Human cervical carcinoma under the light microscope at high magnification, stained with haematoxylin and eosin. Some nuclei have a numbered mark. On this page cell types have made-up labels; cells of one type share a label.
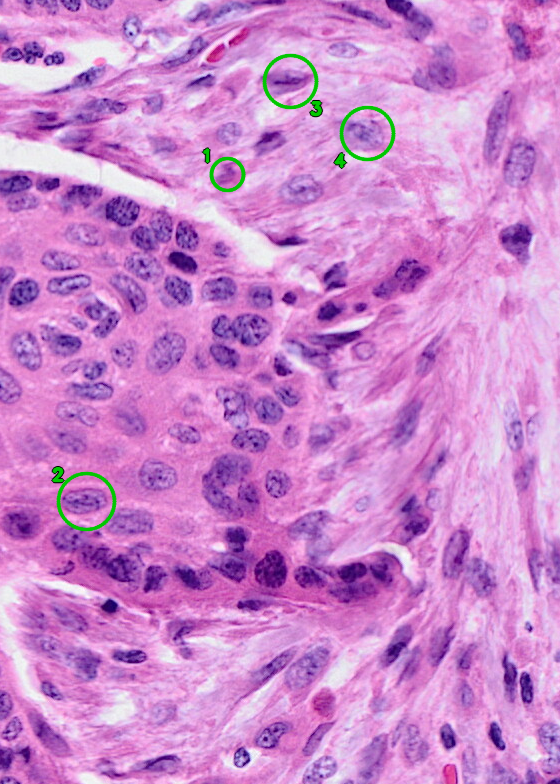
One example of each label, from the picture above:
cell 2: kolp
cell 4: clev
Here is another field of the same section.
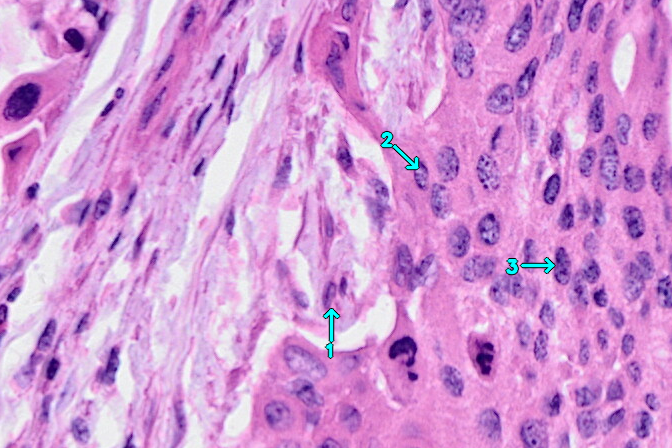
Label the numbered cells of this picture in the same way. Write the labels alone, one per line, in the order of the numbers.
clev
kolp
kolp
